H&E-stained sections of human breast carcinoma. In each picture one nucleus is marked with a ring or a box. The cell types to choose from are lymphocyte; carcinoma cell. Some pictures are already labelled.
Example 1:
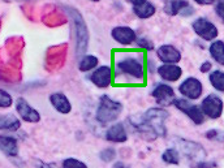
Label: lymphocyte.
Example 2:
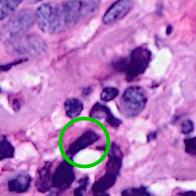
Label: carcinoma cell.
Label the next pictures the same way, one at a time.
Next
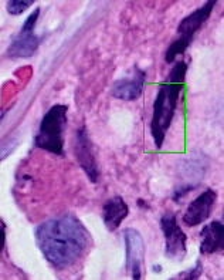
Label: carcinoma cell.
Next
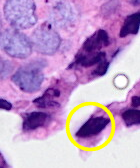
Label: carcinoma cell.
